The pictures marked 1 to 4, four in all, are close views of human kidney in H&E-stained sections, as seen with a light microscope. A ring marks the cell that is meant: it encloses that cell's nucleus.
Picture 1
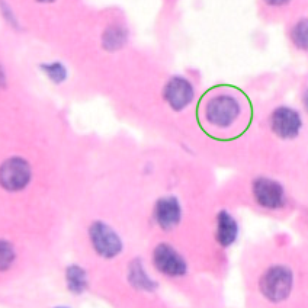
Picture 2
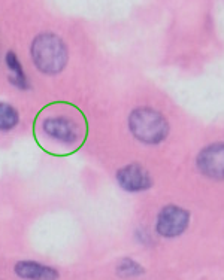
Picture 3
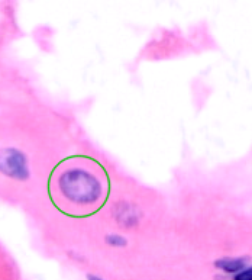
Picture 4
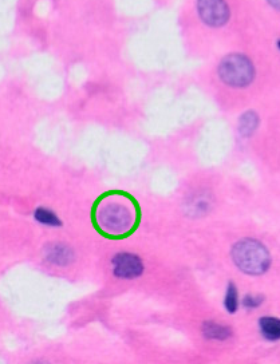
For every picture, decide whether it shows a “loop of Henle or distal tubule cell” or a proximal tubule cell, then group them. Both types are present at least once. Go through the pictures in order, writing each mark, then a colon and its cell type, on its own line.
1: loop of Henle or distal tubule cell
2: loop of Henle or distal tubule cell
3: proximal tubule cell
4: proximal tubule cell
